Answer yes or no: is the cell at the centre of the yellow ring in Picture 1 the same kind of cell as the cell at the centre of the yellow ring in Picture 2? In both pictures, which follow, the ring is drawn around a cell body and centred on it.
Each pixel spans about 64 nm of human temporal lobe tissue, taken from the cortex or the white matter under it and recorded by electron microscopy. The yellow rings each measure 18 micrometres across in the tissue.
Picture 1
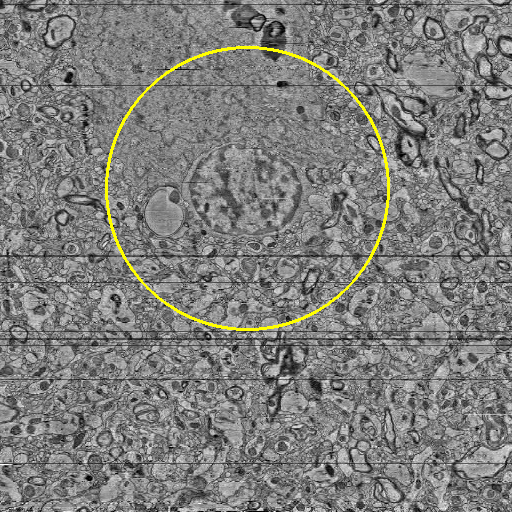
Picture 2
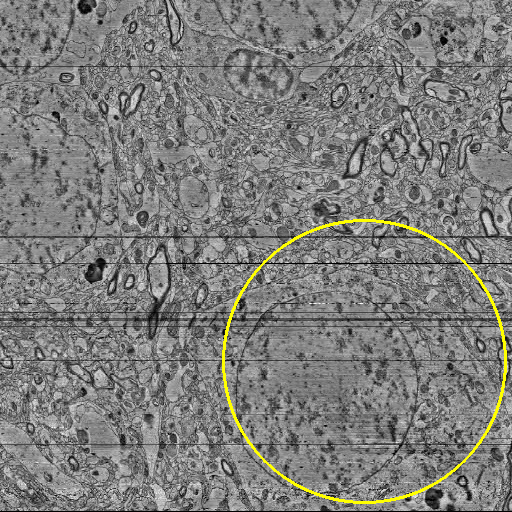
no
